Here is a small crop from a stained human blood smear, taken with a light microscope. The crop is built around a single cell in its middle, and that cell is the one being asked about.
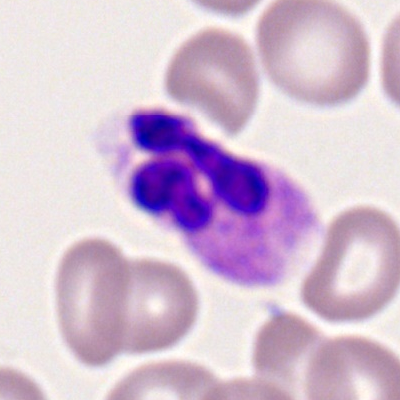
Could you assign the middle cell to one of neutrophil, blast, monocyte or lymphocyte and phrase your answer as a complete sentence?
Classified as a neutrophil is the cell in the middle of this crop.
